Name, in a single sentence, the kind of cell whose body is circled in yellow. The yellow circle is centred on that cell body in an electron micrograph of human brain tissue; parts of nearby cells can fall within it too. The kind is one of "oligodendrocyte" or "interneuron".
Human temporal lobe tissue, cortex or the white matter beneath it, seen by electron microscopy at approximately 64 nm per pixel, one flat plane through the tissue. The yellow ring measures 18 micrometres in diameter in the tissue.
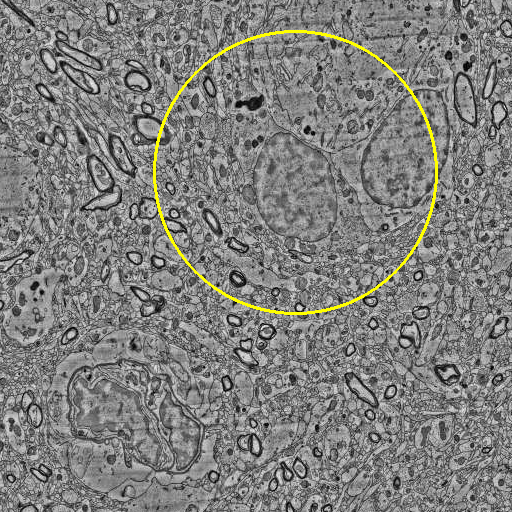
The circled cell body belongs to an oligodendrocyte.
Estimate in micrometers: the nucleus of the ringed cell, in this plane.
About 7 by 5 micrometers for the nucleus, in this plane.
